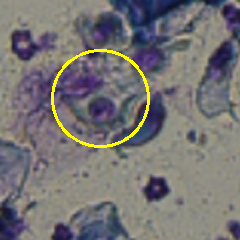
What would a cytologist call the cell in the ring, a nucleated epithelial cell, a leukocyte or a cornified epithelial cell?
A cytologist would call it a nucleated epithelial cell.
